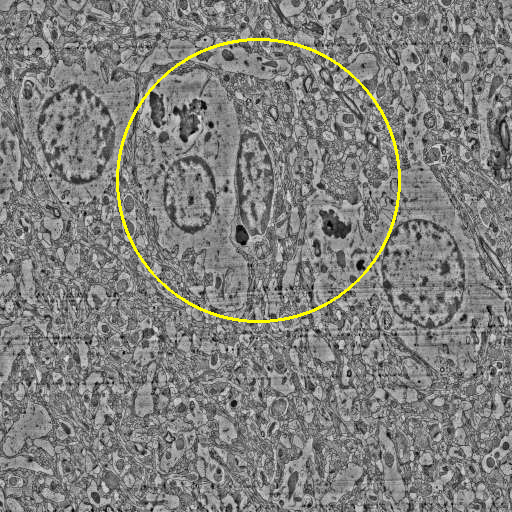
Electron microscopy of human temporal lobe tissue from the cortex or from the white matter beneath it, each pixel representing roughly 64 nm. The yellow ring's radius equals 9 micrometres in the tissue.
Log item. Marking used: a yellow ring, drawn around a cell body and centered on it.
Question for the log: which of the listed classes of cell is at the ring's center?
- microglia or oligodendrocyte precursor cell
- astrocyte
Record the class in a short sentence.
At the center of the ring lies a microglial cell or oligodendrocyte precursor cell.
